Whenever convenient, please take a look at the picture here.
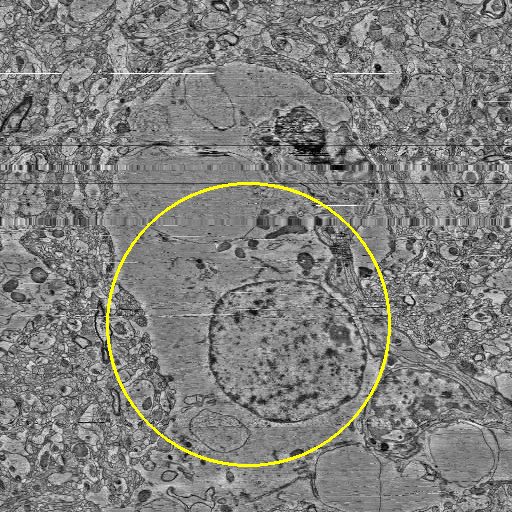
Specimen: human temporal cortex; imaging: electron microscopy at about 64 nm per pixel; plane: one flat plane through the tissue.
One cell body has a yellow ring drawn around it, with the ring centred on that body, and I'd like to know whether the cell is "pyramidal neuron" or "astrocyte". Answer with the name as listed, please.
astrocyte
